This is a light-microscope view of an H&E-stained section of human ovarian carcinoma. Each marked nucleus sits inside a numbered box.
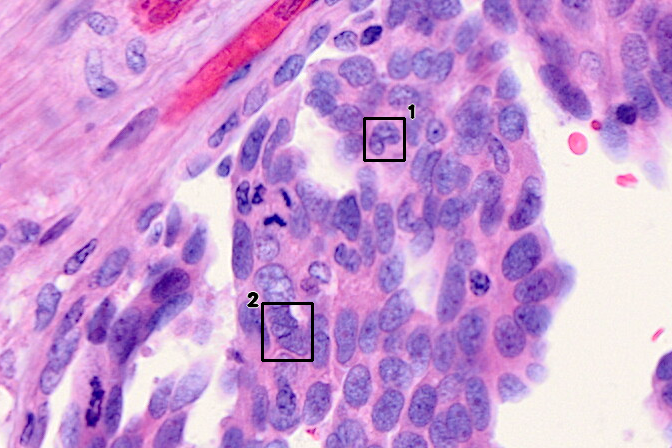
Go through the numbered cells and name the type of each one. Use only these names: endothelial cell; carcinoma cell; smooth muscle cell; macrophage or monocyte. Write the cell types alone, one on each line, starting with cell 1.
macrophage or monocyte
carcinoma cell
